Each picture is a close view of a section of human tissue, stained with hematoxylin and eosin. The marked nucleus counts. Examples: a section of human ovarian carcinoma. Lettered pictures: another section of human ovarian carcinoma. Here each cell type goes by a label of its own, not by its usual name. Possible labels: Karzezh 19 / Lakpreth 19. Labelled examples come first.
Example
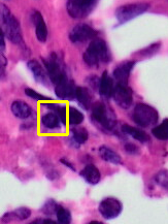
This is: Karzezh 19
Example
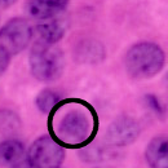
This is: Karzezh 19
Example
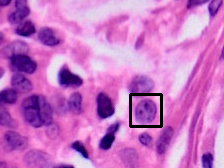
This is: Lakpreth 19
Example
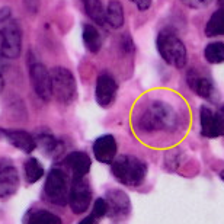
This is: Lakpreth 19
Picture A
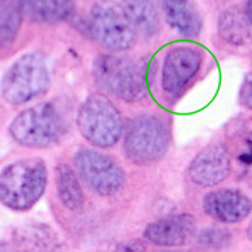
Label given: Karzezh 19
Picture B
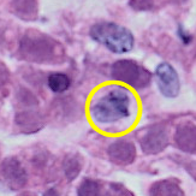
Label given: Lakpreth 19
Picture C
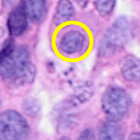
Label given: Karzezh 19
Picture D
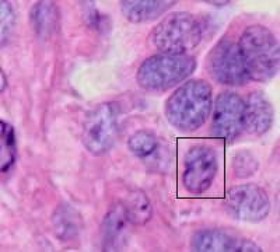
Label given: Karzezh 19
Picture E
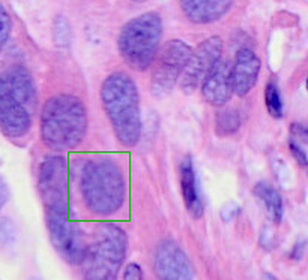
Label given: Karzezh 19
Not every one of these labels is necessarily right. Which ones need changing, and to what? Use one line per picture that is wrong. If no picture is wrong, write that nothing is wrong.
D should be Lakpreth 19, not Karzezh 19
